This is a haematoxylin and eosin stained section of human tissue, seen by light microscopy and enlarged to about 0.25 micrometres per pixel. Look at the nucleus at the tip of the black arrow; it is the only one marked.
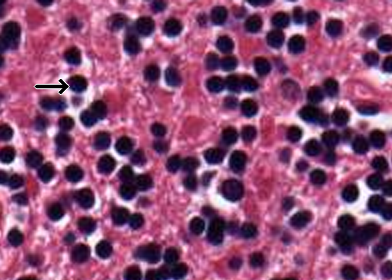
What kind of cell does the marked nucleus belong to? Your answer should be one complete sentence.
The nucleus indicated by the mark belongs to a cerebellar granule cell.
